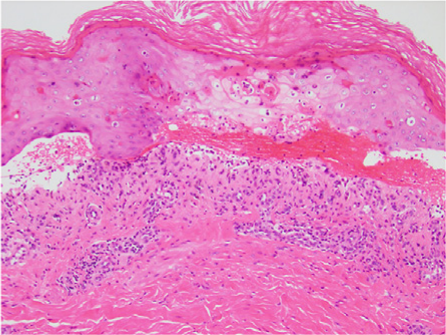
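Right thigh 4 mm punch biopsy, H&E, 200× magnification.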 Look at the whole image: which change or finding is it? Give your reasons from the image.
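The detached epidermis is pale pink and glassy. Many keratinocytes have lost their nuclei or show small dark shrunken nuclei. The stratum corneum on top keeps a normal layered look. The answer: epidermal necrosis.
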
